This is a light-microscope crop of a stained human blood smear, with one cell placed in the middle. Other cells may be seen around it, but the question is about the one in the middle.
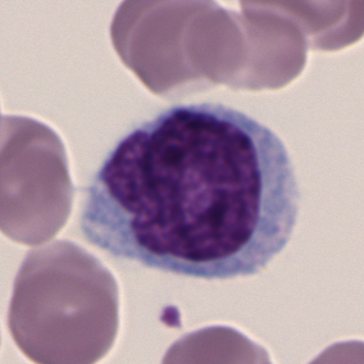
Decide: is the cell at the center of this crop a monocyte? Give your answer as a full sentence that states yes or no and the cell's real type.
Yes, as for the central cell, it is a monocyte.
